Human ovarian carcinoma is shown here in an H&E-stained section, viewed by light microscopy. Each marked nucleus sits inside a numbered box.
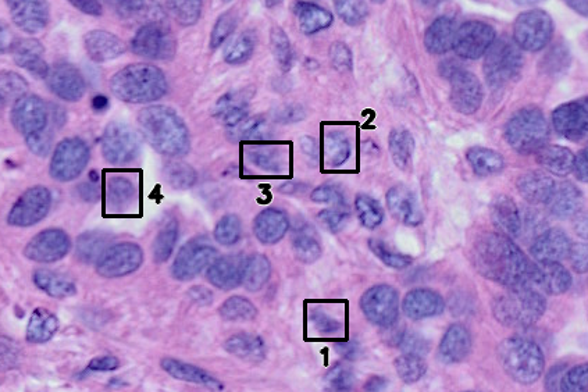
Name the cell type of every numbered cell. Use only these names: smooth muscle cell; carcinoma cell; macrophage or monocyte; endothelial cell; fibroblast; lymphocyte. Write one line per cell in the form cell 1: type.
cell 1: fibroblast
cell 2: fibroblast
cell 3: fibroblast
cell 4: carcinoma cell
